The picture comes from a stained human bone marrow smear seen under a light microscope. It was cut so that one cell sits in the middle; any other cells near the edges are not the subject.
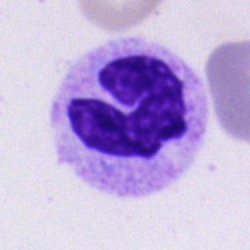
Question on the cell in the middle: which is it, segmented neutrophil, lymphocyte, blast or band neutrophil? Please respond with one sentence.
At the middle of the frame sits a band neutrophil.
